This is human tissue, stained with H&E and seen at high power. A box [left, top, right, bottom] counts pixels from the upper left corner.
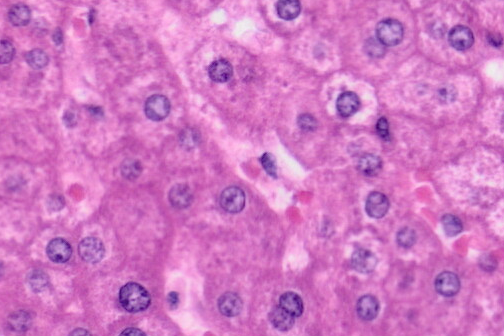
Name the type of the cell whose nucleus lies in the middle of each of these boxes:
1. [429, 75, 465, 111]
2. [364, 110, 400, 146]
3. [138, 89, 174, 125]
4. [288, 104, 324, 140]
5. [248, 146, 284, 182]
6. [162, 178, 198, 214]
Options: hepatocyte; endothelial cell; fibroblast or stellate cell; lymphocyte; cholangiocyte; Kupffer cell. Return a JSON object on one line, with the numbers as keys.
{"1": "hepatocyte", "2": "fibroblast or stellate cell", "3": "hepatocyte", "4": "hepatocyte", "5": "endothelial cell", "6": "hepatocyte"}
